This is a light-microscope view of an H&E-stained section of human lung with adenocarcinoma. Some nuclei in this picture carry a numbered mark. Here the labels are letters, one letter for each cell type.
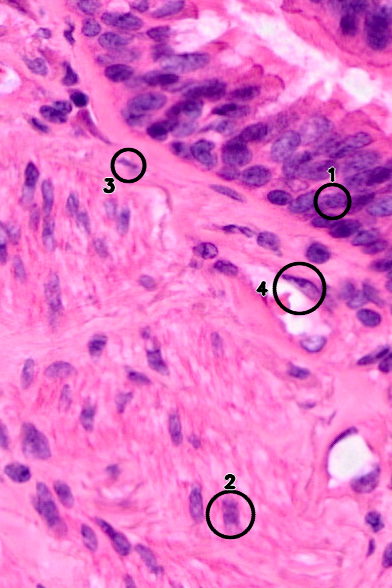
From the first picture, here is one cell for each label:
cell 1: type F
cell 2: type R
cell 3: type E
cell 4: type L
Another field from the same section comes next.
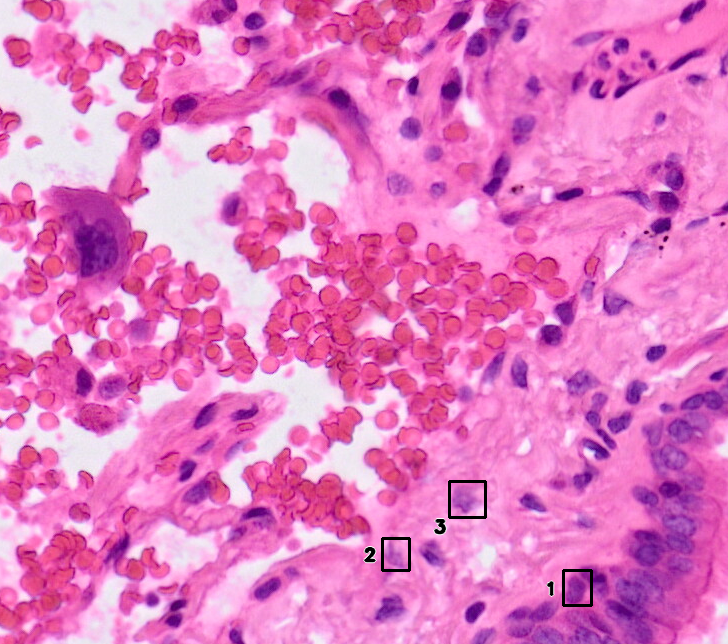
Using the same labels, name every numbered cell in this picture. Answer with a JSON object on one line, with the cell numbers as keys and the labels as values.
{"1": "type F", "2": "type E", "3": "type E"}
